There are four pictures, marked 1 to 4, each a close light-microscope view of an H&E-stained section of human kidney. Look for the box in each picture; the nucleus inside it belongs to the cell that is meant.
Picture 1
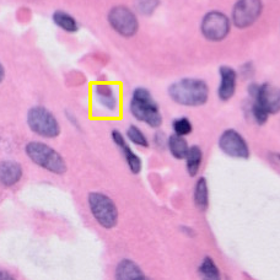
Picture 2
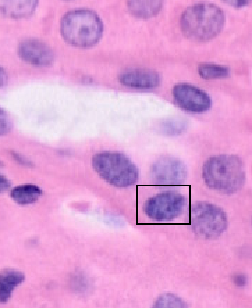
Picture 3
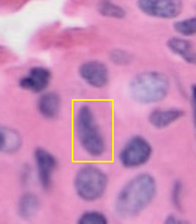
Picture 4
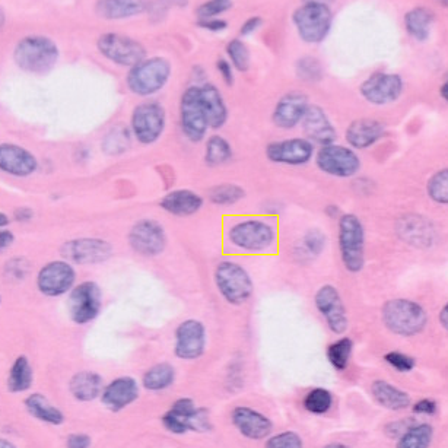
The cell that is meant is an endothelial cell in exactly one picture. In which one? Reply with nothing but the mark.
1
